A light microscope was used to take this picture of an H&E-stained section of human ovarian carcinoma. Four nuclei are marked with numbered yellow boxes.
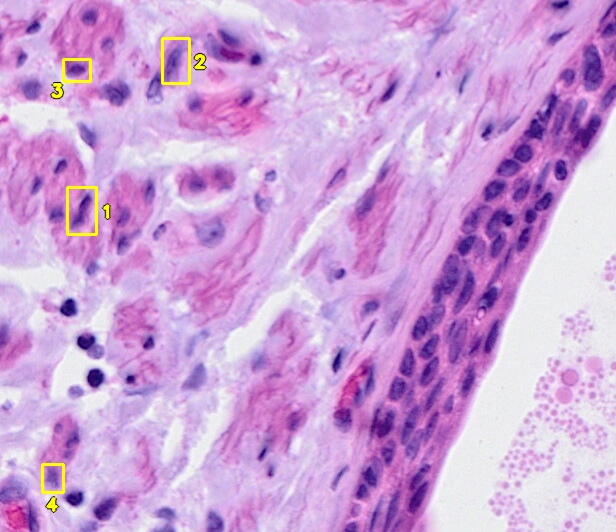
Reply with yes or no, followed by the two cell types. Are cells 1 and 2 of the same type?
No, the identities are a smooth muscle cell for cell 1 and an endothelial cell for cell 2.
